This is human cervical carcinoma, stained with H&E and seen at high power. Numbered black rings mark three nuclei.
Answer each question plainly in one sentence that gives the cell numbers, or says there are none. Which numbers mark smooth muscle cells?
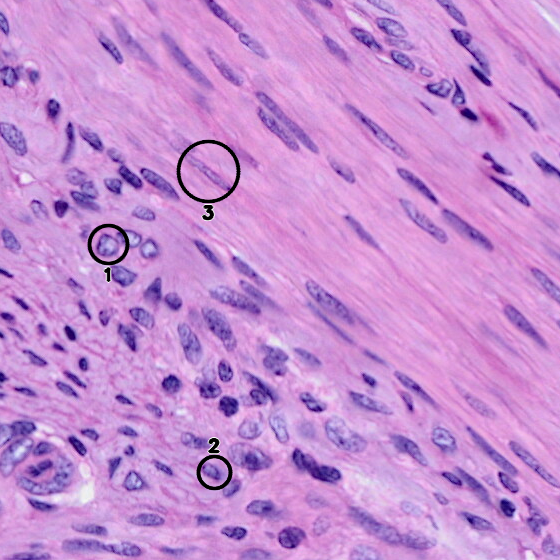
The cells numbered 2 and 3 fall into the category of smooth muscle cells.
